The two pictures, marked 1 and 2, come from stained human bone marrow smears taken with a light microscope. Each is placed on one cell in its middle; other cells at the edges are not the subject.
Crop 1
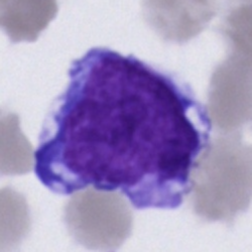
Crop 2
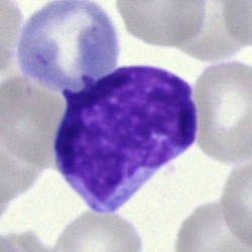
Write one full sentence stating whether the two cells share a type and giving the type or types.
Yes, the central cells in both of the crops are blasts.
